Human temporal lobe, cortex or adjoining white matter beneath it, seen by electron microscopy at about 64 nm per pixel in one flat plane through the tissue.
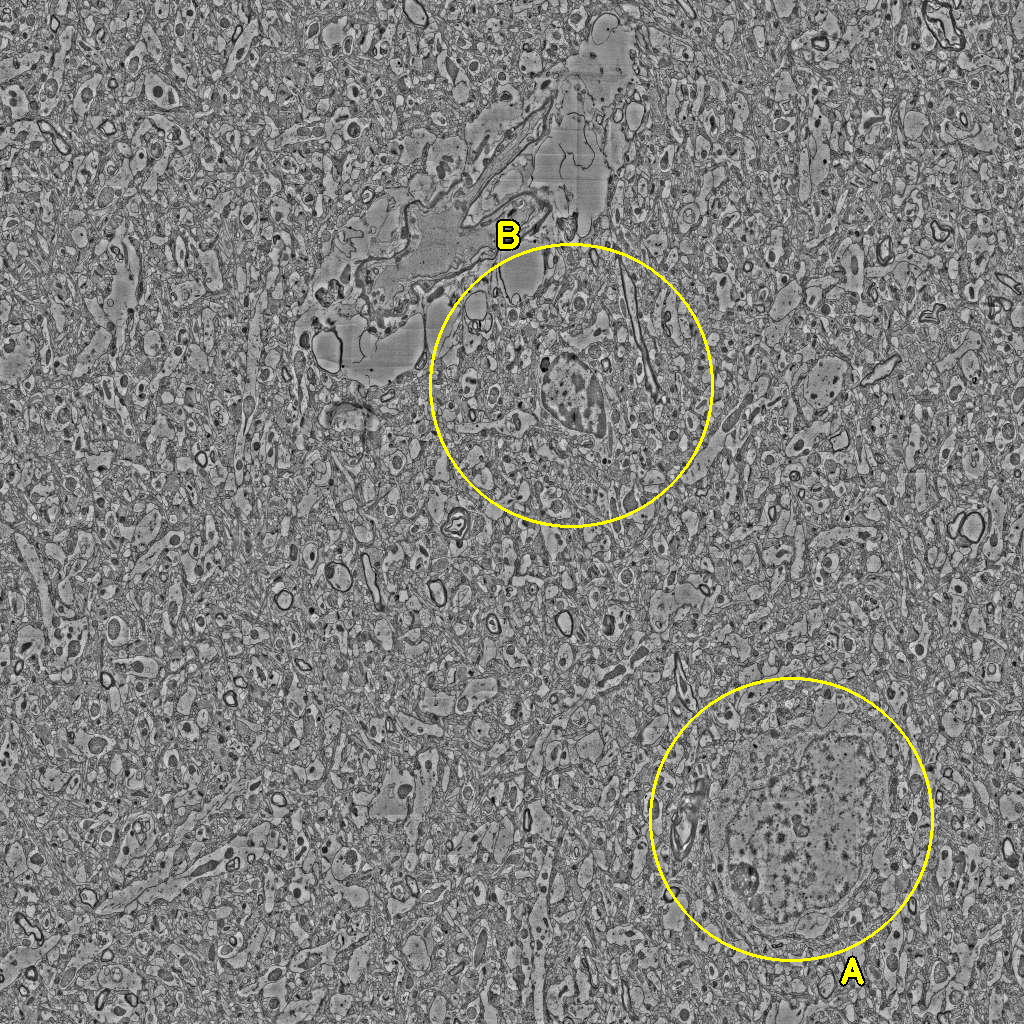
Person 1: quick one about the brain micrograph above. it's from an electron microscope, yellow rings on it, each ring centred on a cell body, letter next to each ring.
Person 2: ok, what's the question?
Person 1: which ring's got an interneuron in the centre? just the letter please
A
